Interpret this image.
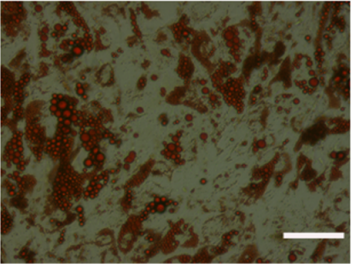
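The droplets gather in clusters that fill the cytoplasm of the cells, some small and some larger. Between the clusters, darker brownish cell bodies and pale empty spaces of the dish can be seen. The droplets are scattered unevenly, thick in some regions and sparse in others.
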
